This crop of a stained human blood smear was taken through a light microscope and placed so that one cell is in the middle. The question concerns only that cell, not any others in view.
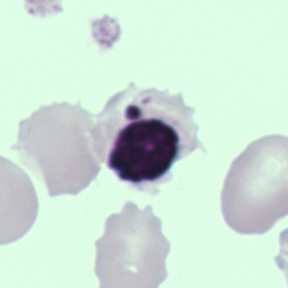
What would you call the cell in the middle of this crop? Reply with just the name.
erythroblast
